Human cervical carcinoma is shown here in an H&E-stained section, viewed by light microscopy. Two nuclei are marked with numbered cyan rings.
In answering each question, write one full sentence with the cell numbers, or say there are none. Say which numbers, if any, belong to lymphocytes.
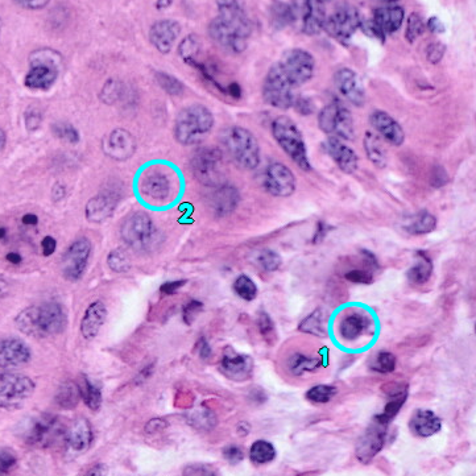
Among the marked cells, a lymphocyte is found only at number 1.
